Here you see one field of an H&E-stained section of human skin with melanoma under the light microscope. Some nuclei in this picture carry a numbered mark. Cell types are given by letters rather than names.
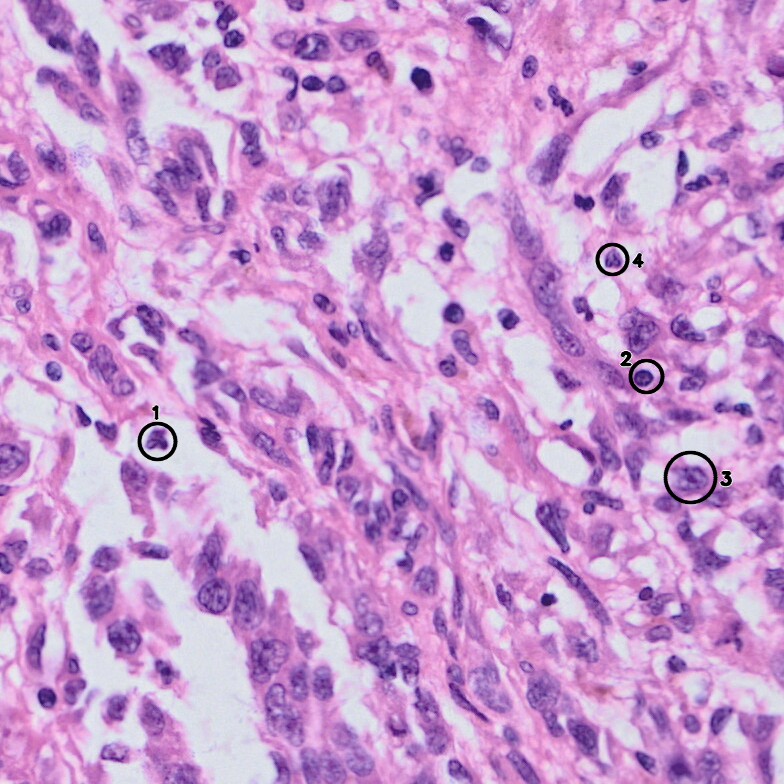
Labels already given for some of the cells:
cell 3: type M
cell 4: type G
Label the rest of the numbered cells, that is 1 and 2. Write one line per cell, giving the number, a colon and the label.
1: type M
2: type G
